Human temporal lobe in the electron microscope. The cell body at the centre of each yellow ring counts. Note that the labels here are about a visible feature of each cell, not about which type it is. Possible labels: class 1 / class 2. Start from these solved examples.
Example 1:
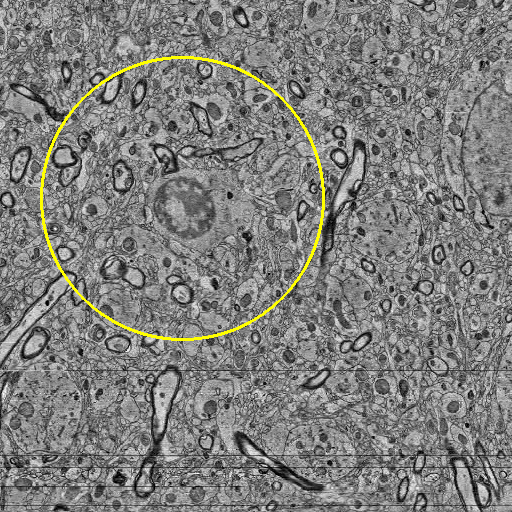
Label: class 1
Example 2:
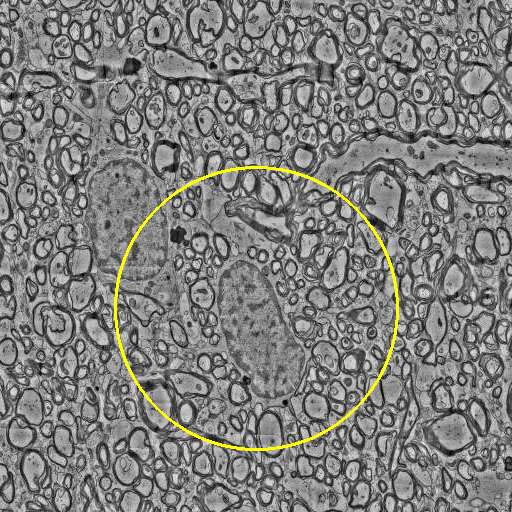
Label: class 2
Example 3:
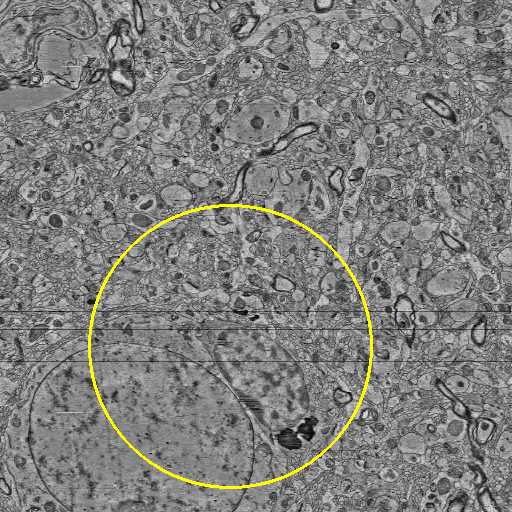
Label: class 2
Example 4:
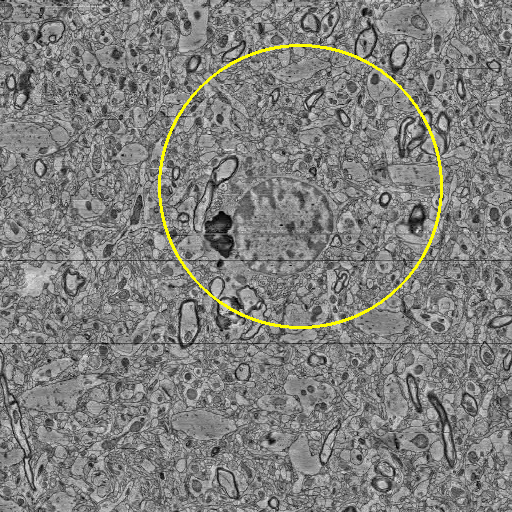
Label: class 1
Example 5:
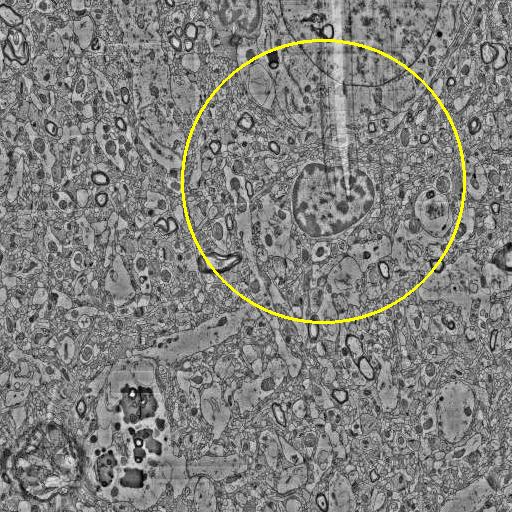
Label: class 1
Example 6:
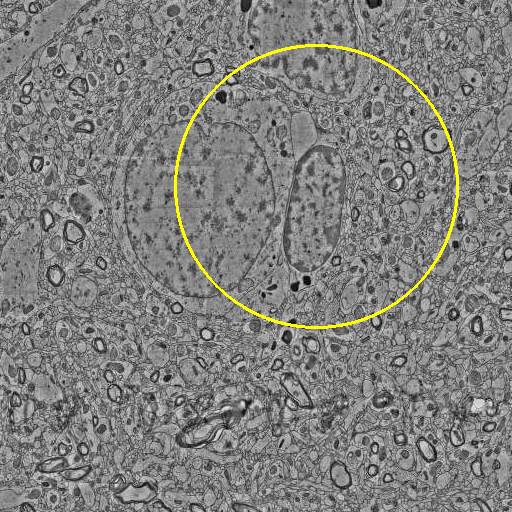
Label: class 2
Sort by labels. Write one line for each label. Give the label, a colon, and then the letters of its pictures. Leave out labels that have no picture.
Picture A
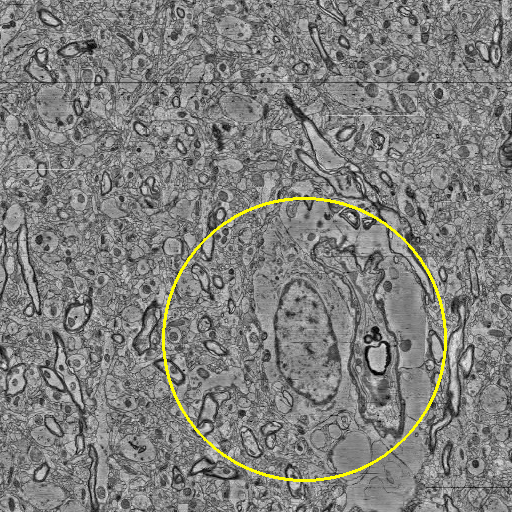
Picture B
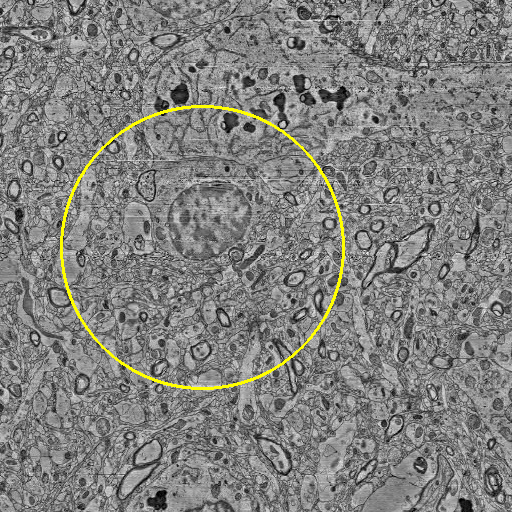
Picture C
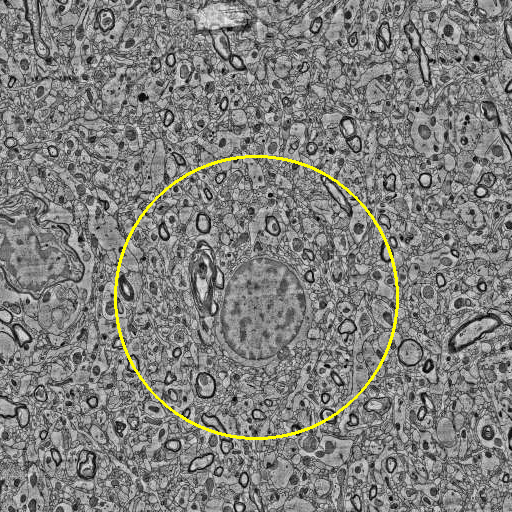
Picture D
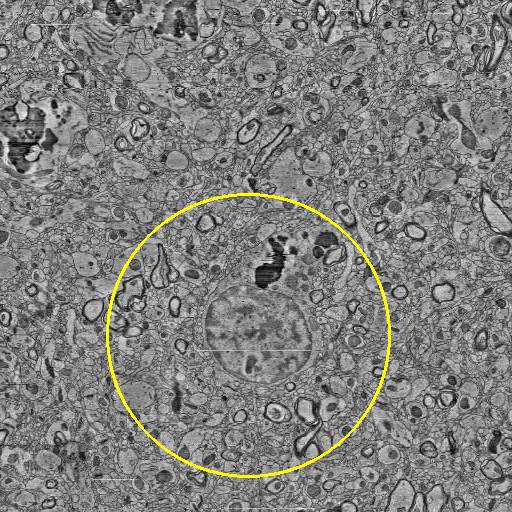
class 1: B, C, D
class 2: A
